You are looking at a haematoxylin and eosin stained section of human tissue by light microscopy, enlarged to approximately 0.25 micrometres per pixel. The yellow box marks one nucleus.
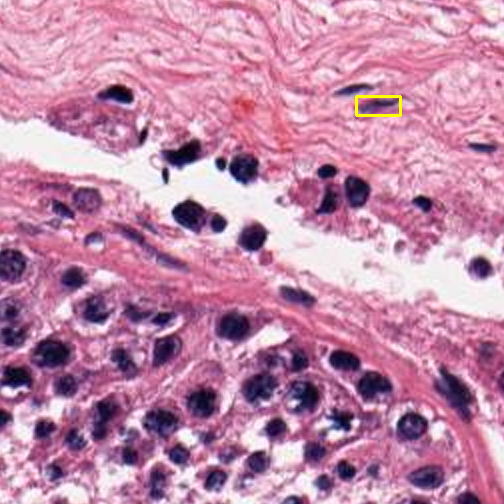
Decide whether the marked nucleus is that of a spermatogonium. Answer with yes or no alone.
no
